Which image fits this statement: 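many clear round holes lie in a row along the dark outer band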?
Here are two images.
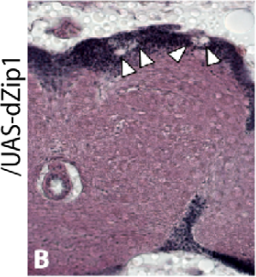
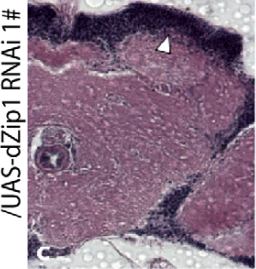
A: The first image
